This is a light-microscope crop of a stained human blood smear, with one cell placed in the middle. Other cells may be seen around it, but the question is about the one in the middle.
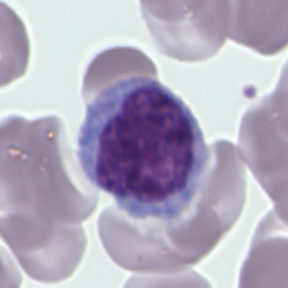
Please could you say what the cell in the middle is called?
monocyte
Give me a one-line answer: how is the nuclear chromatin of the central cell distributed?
Heads up, the chromatin in this one is coarsely clumped.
